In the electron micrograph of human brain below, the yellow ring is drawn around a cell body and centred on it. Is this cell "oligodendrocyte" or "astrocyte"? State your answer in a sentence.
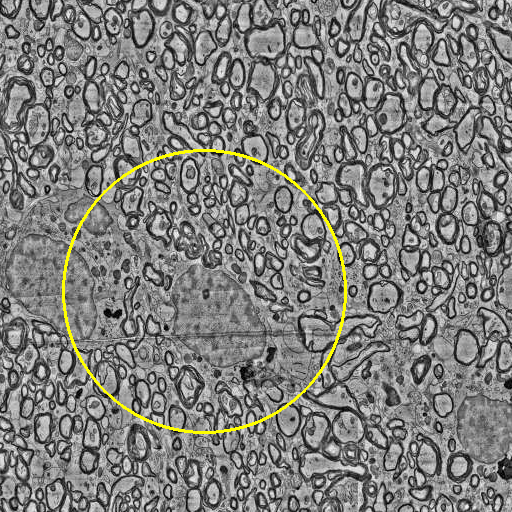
The cell in the middle of the ring is an oligodendrocyte.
